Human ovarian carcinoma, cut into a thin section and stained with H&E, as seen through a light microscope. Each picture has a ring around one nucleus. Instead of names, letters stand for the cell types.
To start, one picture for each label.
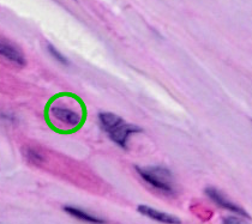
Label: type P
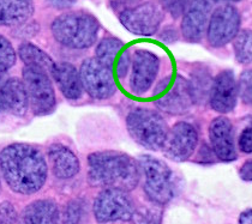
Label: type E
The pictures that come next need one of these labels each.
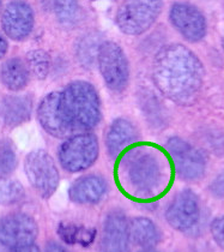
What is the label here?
type E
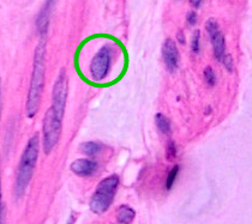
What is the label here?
type P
